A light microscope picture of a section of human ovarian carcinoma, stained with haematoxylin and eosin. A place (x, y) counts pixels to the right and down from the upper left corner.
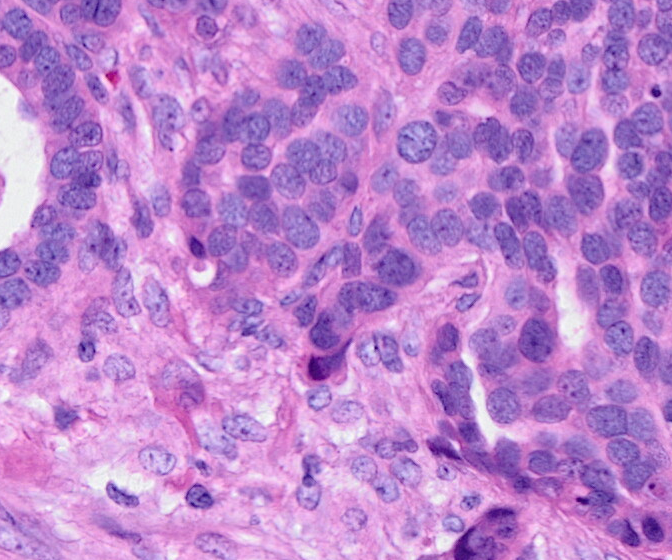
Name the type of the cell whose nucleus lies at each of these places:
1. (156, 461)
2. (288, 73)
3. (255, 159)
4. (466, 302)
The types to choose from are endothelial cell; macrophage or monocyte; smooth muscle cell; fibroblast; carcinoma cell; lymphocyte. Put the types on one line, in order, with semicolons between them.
fibroblast; carcinoma cell; carcinoma cell; fibroblast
